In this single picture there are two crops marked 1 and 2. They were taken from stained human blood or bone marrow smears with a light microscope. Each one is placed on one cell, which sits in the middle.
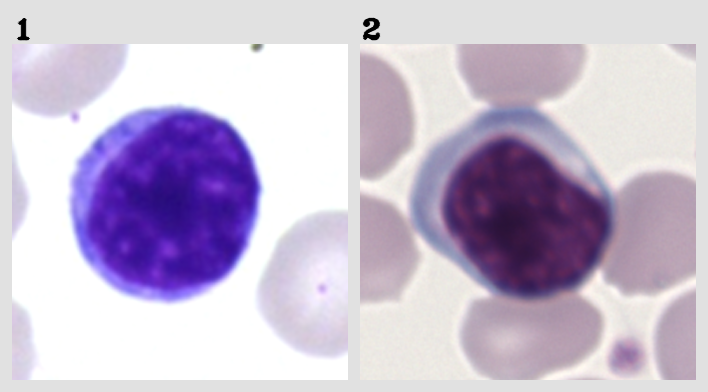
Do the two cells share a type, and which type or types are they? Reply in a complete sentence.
Yes, lymphocytes are seen in both crops.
